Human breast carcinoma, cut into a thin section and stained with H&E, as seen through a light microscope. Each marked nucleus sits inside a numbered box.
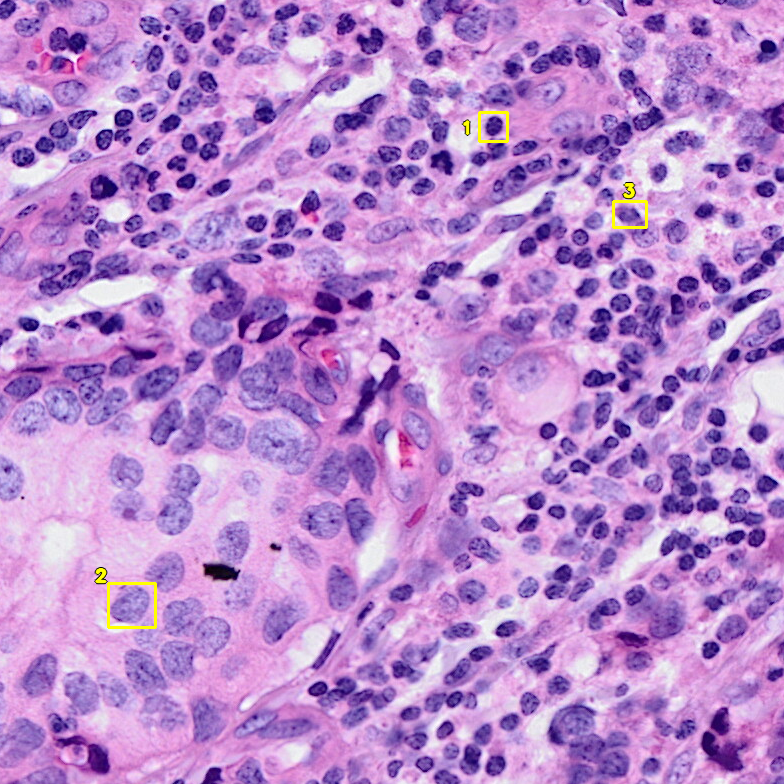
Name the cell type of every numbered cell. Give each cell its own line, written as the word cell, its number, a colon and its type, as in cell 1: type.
cell 1: lymphocyte
cell 2: carcinoma cell
cell 3: lymphocyte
